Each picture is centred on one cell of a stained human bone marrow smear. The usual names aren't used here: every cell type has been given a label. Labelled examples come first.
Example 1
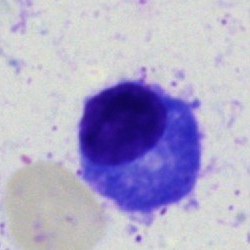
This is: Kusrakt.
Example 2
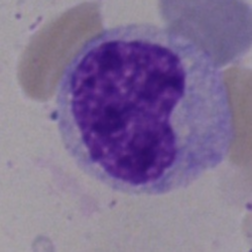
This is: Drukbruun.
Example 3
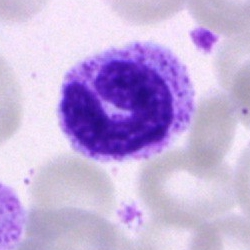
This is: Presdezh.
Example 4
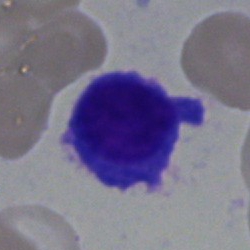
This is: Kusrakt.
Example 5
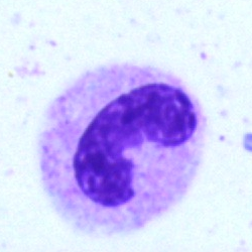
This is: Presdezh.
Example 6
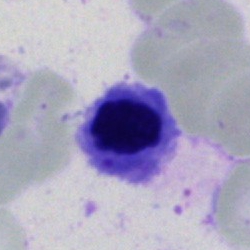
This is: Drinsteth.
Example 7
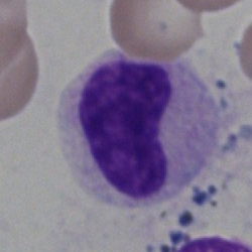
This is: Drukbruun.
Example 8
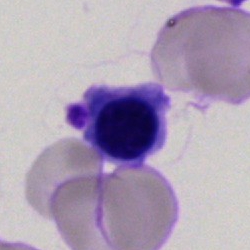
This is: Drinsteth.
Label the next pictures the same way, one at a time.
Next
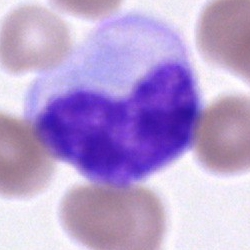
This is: Drukbruun.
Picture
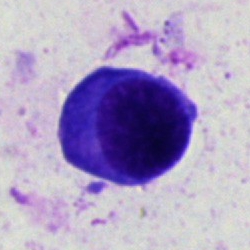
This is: Kusrakt.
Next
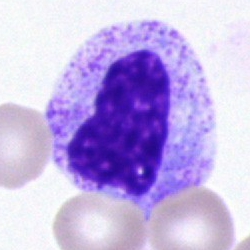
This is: Drukbruun.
